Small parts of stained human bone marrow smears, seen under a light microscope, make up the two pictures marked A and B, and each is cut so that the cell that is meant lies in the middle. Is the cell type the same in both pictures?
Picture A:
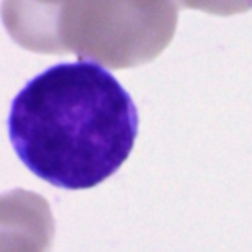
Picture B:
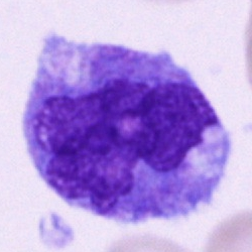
no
